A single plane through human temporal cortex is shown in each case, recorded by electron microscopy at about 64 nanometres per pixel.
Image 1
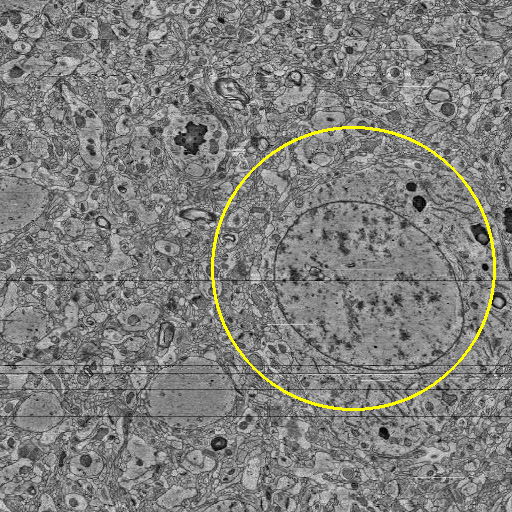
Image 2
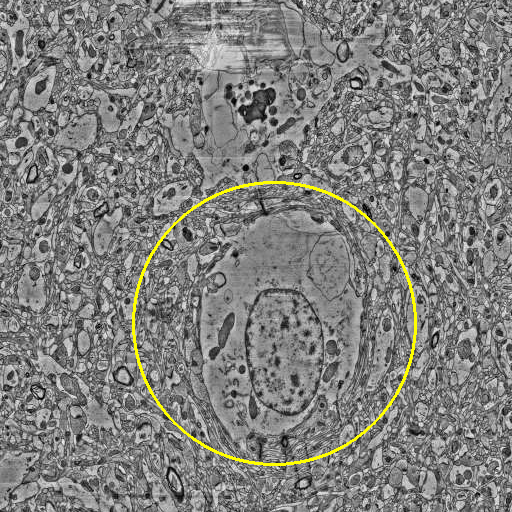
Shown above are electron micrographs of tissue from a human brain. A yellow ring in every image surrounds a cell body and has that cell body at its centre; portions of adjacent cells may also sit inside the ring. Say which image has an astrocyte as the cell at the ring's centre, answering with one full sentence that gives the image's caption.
The image whose ring is centred on the requested cell is Image 2.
